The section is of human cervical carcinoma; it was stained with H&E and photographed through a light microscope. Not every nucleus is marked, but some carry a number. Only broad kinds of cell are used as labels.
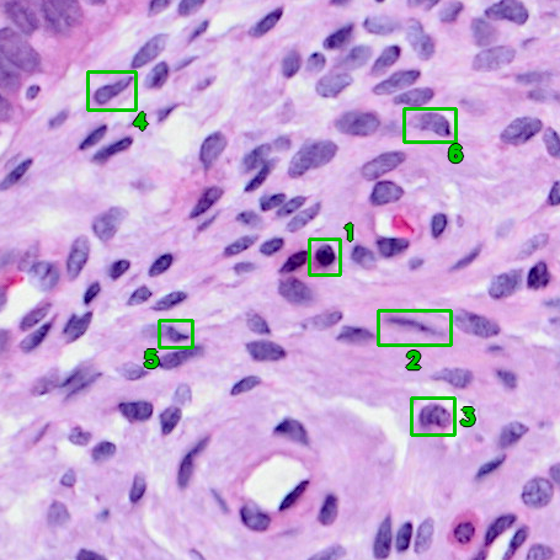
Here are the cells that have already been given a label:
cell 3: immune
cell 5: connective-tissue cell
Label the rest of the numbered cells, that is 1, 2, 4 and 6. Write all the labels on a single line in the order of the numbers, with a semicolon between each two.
immune; connective-tissue cell; connective-tissue cell; connective-tissue cell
